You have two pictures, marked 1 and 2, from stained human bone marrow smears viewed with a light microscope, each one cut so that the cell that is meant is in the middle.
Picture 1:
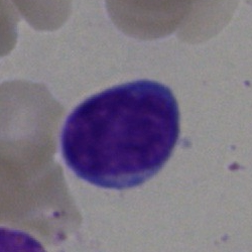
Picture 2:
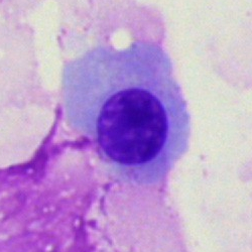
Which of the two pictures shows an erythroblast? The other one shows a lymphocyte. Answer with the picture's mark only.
2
